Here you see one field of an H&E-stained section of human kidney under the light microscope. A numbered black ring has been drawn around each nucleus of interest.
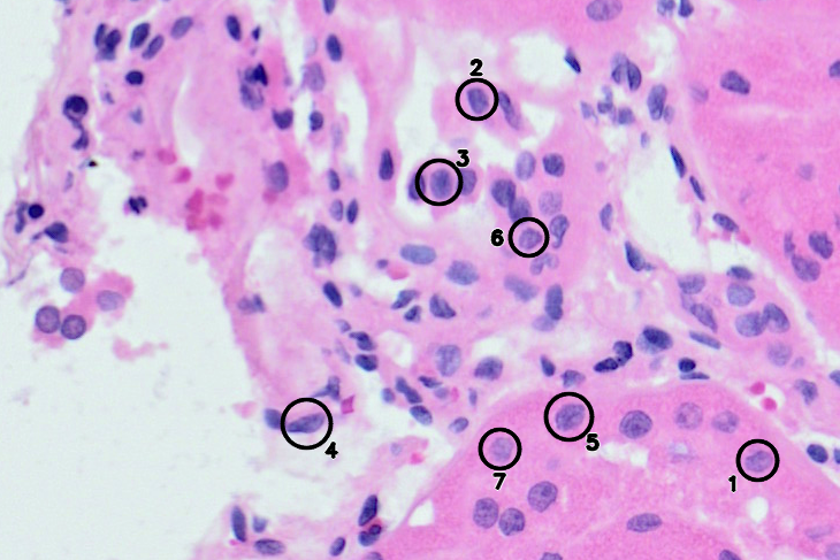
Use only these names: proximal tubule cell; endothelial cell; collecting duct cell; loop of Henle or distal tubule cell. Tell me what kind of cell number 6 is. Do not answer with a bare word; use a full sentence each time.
The cell indicated with the number 6 is classed as a collecting duct cell.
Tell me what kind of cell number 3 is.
The cell referred to as 3 is a collecting duct cell.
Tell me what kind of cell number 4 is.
The marked cell with the number 4 is recognised as an endothelial cell.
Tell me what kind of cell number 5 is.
Cell 5 is classified as a proximal tubule cell.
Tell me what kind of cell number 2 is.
The correct label for cell 2 is a collecting duct cell.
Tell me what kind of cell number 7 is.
The nucleus labeled 7 belongs to a proximal tubule cell.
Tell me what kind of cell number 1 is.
That cell with number 1 is a proximal tubule cell.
